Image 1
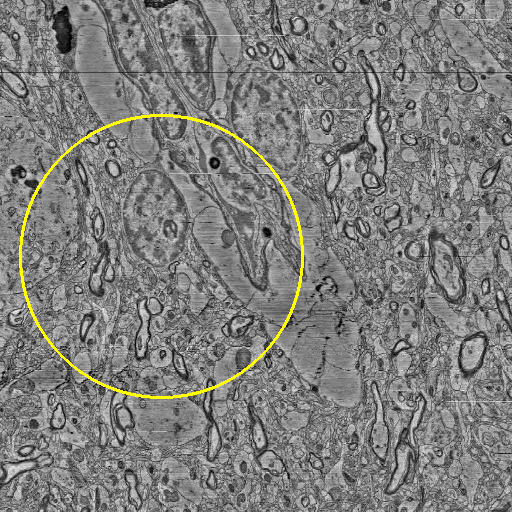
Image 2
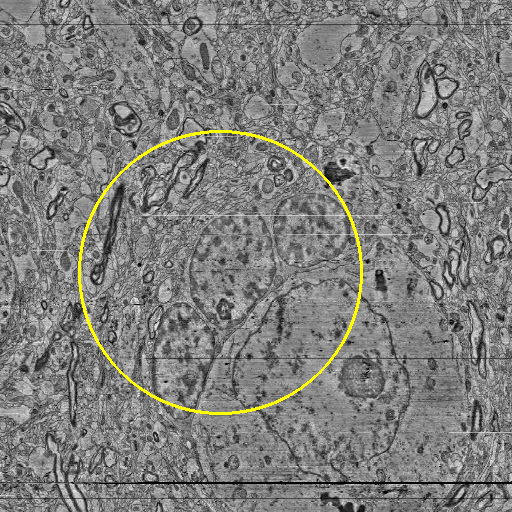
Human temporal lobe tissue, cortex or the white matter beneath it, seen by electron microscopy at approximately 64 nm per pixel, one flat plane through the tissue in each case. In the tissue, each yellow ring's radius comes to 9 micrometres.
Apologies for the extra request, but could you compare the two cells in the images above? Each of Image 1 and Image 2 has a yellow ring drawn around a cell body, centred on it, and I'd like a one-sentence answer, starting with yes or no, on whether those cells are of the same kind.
Yes, both cells are of the same kind.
